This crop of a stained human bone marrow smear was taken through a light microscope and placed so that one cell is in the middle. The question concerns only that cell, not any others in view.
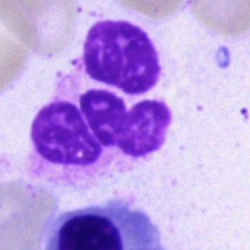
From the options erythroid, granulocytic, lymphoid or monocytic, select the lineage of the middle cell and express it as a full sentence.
For the cell at the center, the lineage is granulocytic.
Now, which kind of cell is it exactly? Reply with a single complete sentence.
Regarding the central cell, it is a segmented neutrophil.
